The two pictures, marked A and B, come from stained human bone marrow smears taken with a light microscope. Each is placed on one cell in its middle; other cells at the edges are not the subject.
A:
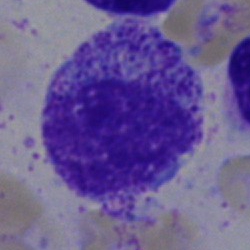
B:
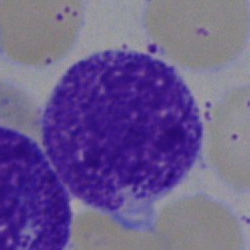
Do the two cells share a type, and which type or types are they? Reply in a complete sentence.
Yes, as for both crops, the cells shown are myelocytes.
